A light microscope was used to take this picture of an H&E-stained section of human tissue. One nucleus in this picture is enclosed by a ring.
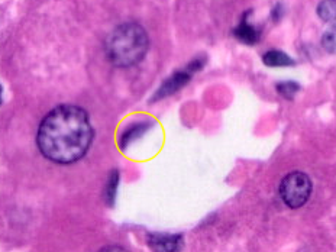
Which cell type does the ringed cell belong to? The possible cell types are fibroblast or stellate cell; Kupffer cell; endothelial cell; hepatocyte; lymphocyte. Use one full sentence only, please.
In this preparation, the ringed cell is a fibroblast or stellate cell.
